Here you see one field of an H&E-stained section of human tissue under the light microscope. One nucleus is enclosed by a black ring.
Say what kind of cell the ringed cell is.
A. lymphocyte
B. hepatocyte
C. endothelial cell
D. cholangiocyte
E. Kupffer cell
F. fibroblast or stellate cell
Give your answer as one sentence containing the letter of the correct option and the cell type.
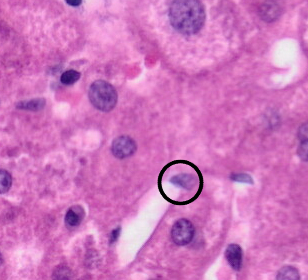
The correct choice is option C; the ringed cell is an endothelial cell.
